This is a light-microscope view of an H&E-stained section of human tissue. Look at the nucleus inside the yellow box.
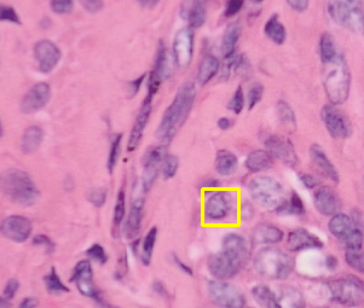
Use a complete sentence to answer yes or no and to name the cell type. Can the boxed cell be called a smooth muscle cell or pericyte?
No, the boxed cell is identified as a ciliated epithelial cell and not as a smooth muscle cell or pericyte.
